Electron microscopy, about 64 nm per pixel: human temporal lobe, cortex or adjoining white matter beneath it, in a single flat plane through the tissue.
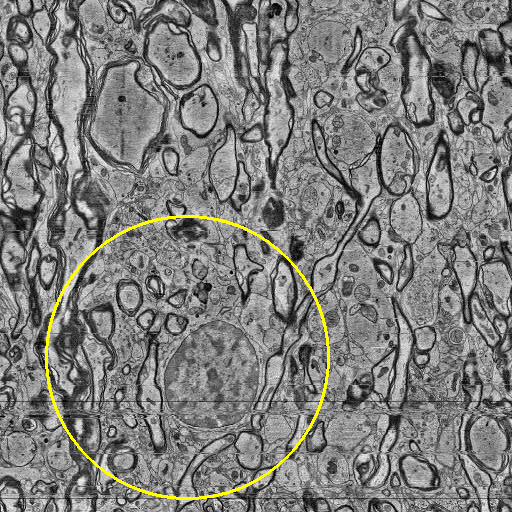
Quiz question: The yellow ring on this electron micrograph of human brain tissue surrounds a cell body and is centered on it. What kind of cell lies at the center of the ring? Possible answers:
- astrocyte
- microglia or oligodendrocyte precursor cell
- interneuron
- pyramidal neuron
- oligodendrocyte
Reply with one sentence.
The ring's center lies on a microglial cell or oligodendrocyte precursor cell.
